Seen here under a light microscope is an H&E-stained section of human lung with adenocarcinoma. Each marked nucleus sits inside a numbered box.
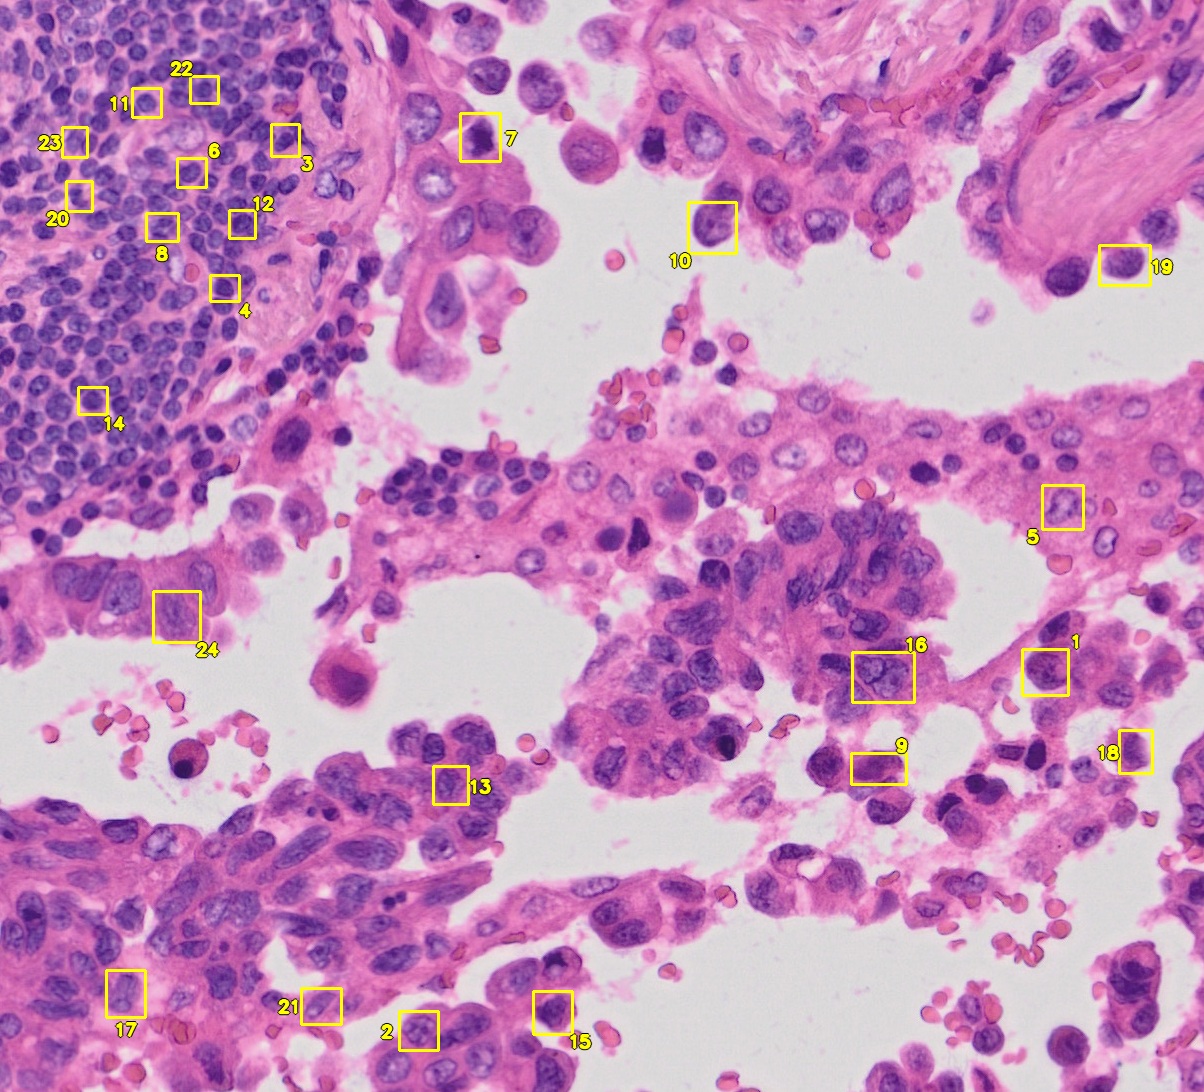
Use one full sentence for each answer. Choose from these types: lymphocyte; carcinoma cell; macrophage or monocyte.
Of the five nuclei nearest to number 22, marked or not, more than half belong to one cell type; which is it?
Lymphocytes make up most of the five nuclei closest to number 22.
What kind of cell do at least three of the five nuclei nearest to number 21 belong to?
Of the five nuclei nearest to number 21, most belong to carcinoma cells.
